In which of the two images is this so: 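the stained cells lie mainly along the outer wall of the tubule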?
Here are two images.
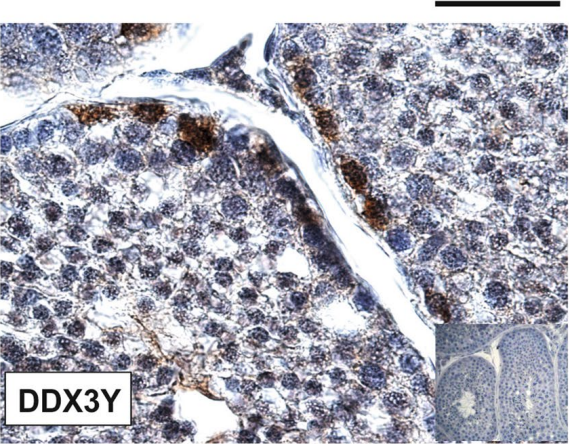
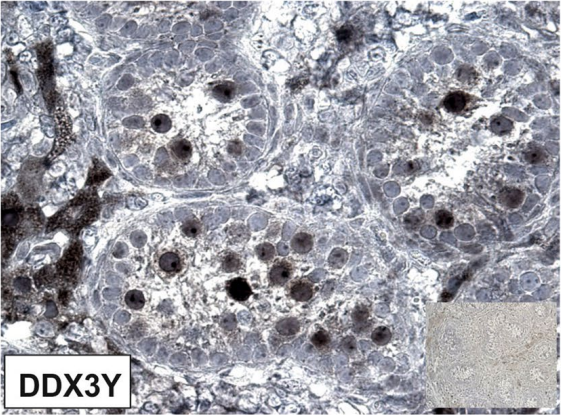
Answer: The first image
